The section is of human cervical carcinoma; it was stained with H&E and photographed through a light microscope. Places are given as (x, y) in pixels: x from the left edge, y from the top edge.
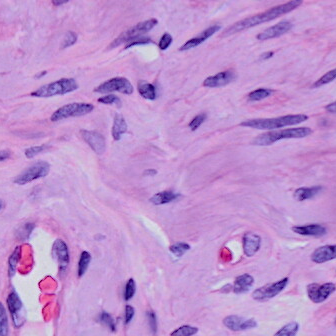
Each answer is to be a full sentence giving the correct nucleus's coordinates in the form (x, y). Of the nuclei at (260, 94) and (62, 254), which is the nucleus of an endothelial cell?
The nucleus situated at (62, 254) is the one belonging to an endothelial cell.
